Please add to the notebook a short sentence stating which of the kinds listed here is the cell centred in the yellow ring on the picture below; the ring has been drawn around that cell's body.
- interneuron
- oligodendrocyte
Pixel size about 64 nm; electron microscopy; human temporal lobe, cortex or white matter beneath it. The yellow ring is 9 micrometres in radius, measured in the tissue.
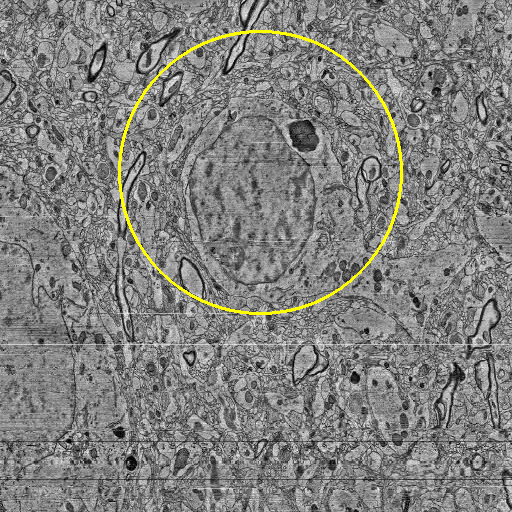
The cell centred in the yellow ring is an interneuron.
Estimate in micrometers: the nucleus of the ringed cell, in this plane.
Approximately 11 x 8 micrometres in this plane.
